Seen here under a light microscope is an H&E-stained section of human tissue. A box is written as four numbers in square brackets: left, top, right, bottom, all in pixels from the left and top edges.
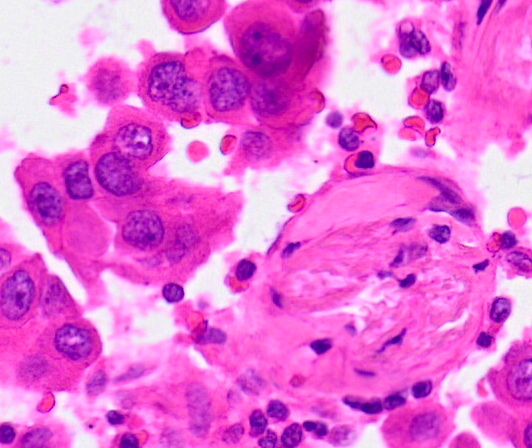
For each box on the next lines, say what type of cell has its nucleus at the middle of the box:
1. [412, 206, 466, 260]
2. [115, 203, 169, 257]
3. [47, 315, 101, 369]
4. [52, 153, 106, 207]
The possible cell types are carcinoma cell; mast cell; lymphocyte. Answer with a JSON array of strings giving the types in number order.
["lymphocyte", "carcinoma cell", "carcinoma cell", "carcinoma cell"]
